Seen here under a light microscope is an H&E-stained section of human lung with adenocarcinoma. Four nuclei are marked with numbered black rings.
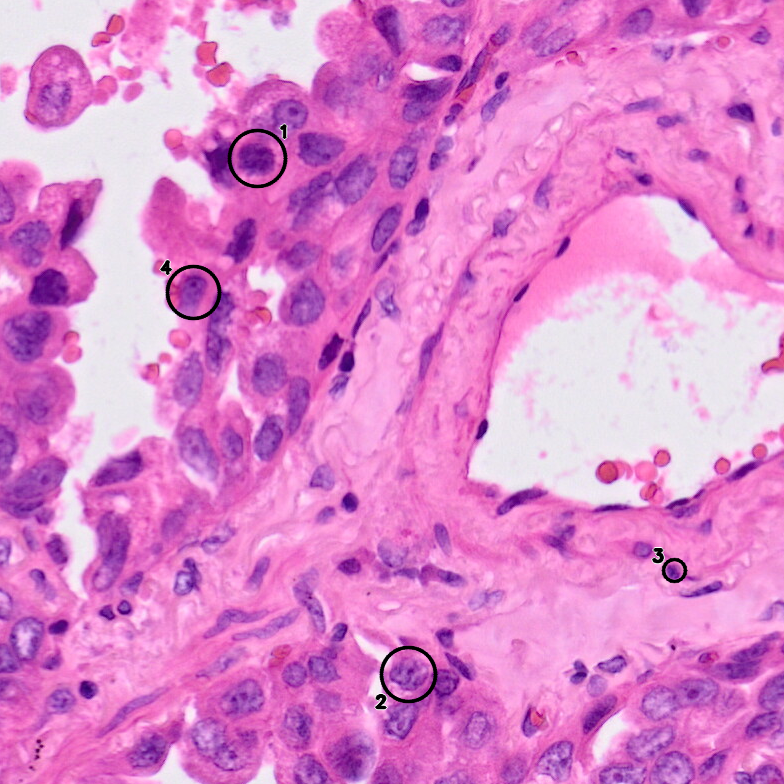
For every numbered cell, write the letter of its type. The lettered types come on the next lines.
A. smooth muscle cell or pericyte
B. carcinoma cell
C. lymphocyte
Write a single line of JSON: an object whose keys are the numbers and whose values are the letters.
{"1": "B", "2": "B", "3": "A", "4": "B"}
